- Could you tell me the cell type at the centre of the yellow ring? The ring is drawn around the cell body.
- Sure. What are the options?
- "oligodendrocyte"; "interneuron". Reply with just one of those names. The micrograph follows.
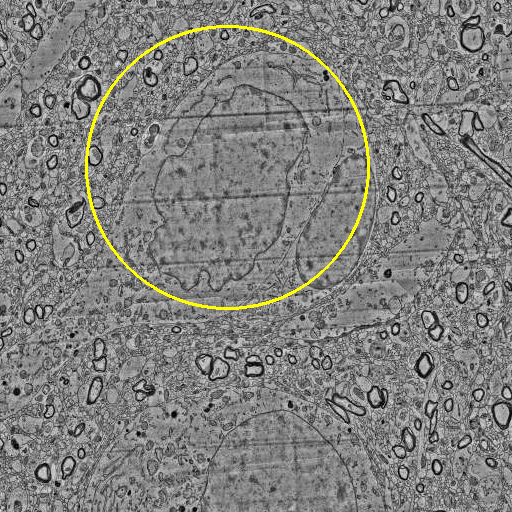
interneuron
